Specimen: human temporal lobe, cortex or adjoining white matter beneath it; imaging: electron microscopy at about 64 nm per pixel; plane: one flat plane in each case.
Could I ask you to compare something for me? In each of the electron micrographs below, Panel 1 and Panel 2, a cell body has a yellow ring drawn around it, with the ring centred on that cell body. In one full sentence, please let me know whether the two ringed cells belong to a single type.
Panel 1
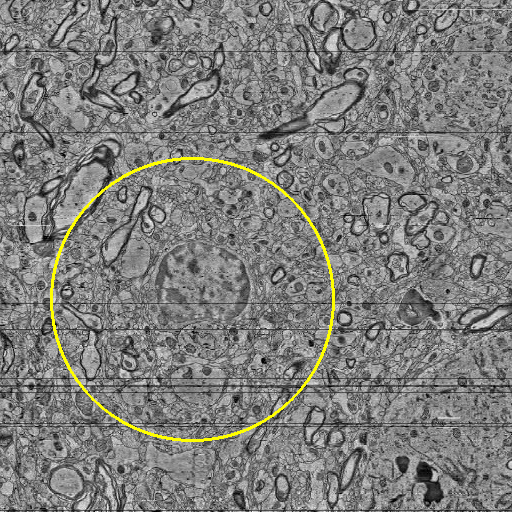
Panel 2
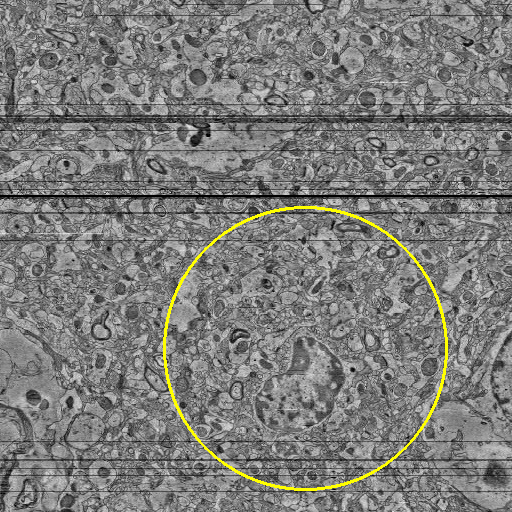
No, the two cells at the centres of the rings are of two types.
